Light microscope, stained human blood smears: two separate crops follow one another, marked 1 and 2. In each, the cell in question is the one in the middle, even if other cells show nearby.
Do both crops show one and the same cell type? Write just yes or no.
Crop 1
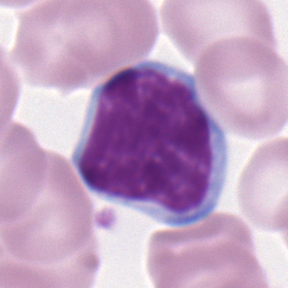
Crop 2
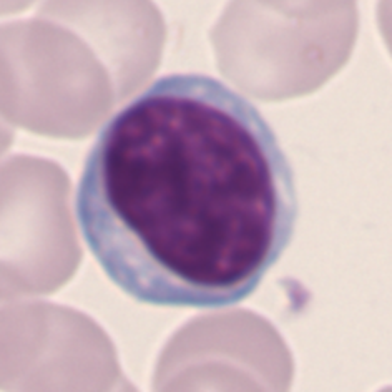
yes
